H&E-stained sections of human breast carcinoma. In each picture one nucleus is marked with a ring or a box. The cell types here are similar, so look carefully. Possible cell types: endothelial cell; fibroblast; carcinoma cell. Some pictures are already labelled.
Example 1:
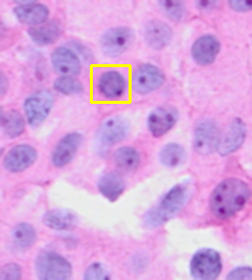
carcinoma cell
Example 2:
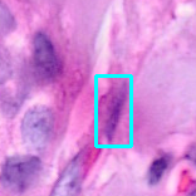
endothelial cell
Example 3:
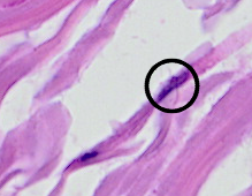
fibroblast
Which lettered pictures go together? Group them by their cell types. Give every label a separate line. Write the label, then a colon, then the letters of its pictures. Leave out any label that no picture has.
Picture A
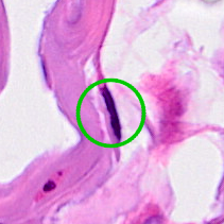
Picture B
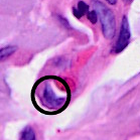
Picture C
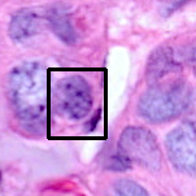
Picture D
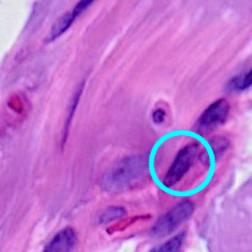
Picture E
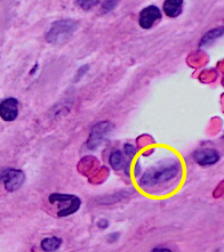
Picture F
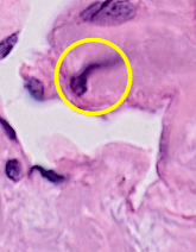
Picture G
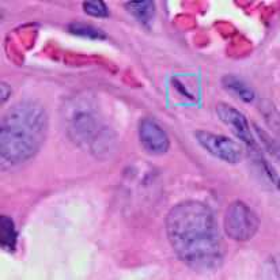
endothelial cell: B, D, E, G
fibroblast: A, F
carcinoma cell: C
